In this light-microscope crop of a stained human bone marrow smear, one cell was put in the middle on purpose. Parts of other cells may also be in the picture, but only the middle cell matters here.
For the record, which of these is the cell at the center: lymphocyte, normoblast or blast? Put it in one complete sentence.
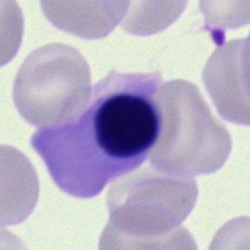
Answering briefly, the cell in the middle is a normoblast.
